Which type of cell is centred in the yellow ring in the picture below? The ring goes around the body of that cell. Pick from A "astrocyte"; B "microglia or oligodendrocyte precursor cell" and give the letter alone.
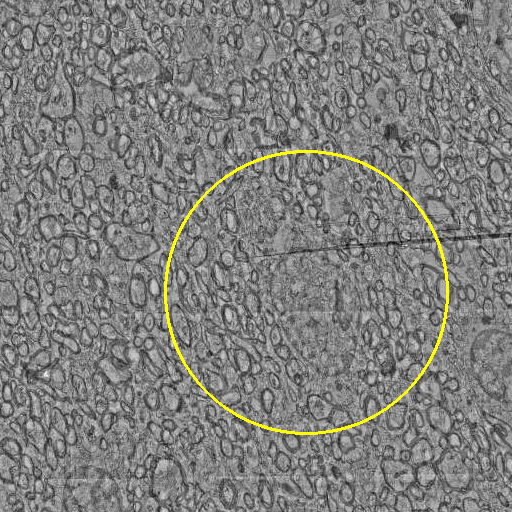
A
